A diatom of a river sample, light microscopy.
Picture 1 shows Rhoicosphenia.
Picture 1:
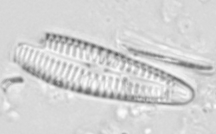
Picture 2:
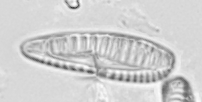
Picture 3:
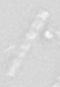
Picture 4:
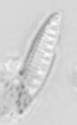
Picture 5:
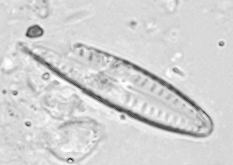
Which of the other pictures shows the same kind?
Picture 2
